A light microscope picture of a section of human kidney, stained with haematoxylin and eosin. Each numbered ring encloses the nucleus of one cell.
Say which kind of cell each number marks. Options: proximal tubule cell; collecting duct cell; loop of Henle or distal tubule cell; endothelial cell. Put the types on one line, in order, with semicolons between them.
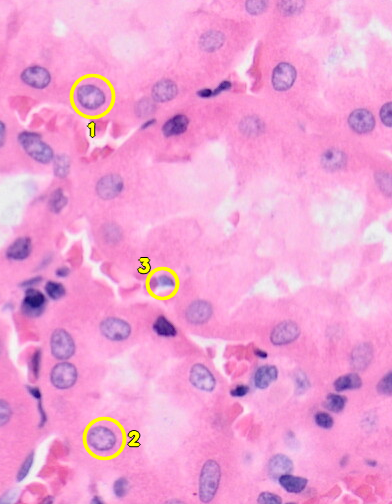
proximal tubule cell; proximal tubule cell; endothelial cell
